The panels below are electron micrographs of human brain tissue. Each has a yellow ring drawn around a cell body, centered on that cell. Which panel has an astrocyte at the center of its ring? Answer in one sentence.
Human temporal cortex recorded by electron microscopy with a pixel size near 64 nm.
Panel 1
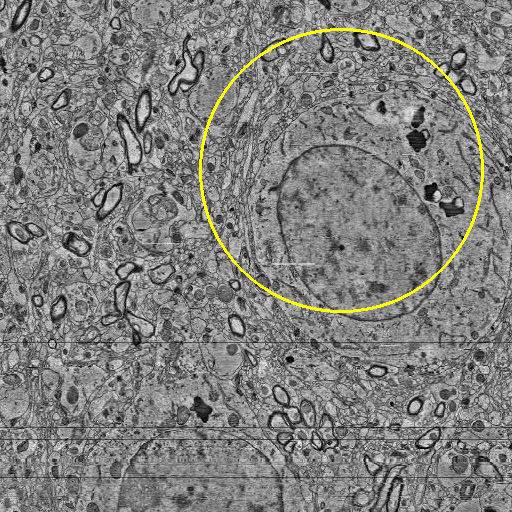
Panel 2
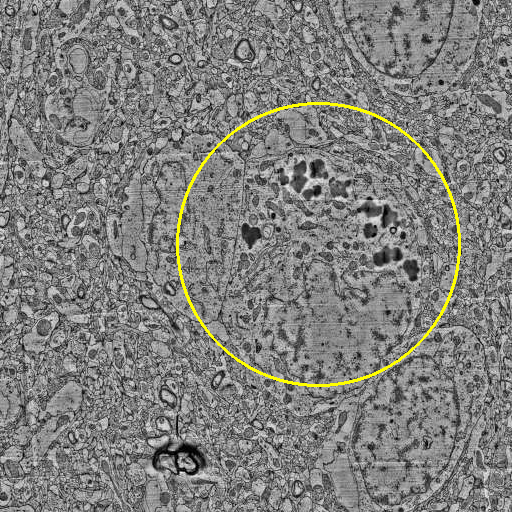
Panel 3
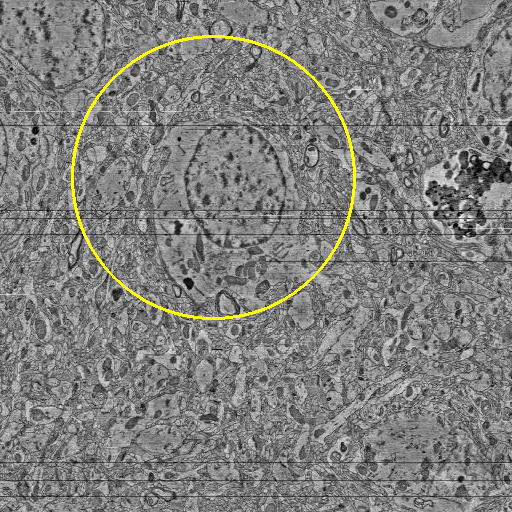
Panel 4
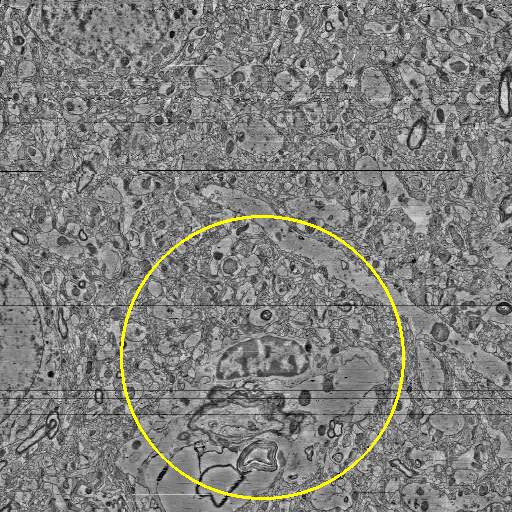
Panel 3 has it at the center of its ring.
